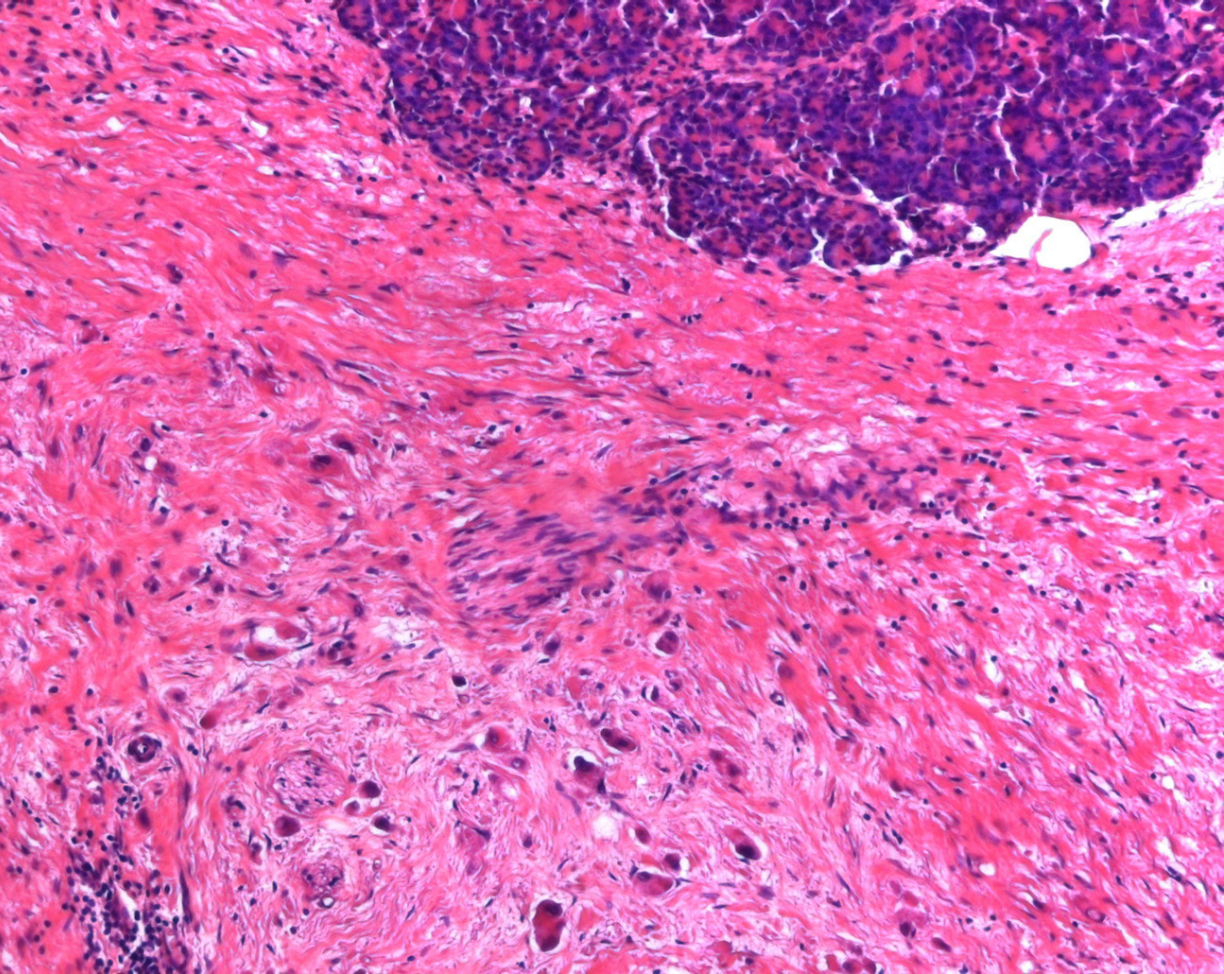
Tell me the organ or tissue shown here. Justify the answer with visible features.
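Normal acinar lobules. A compact, darkly purple-staining glandular lobule occupies the upper right. Its cells are closely packed in small clusters with basophilic cytoplasm.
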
